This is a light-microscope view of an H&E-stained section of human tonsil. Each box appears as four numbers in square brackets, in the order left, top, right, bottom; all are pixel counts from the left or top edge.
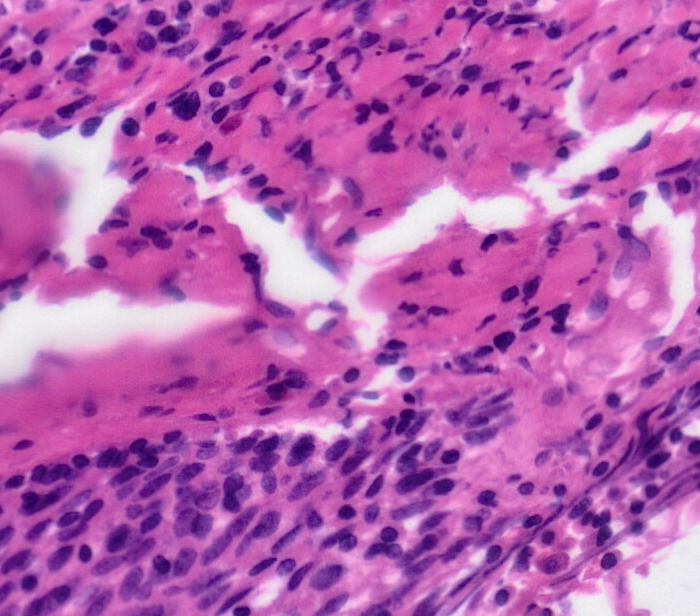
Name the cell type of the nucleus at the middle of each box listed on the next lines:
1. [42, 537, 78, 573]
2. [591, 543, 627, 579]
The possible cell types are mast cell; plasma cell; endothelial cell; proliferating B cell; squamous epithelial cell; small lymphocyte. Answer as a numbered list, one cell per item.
1. squamous epithelial cell
2. plasma cell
